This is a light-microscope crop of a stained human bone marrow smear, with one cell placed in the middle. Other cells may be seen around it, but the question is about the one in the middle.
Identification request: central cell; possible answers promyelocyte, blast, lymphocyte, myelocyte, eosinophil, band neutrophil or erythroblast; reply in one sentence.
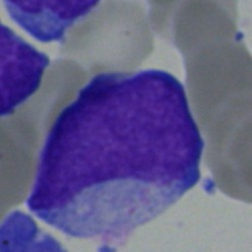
Among the cells in view, the one in the middle is a blast.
